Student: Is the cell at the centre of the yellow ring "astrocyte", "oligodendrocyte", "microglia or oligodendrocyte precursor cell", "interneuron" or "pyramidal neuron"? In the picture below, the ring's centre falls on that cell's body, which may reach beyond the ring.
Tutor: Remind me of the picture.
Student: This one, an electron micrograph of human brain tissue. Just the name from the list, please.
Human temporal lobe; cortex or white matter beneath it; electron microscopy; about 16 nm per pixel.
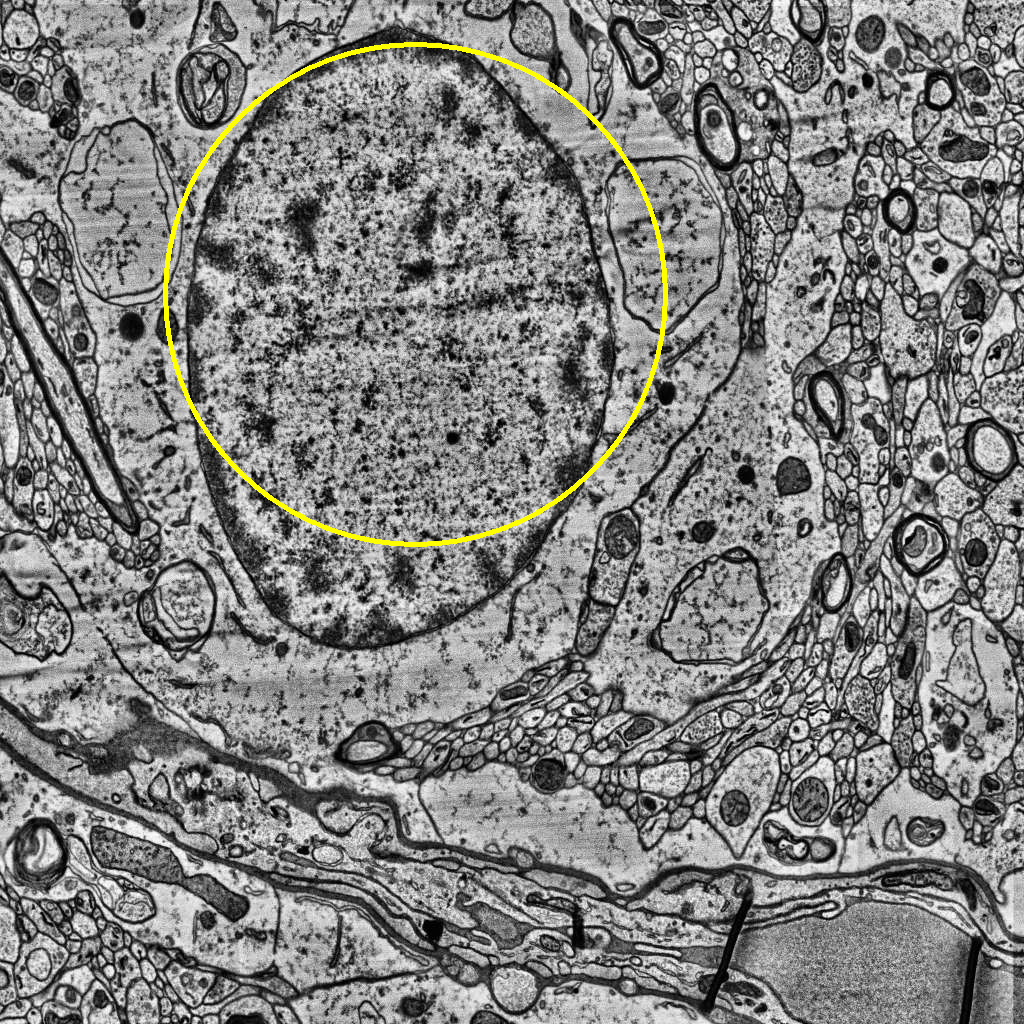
astrocyte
